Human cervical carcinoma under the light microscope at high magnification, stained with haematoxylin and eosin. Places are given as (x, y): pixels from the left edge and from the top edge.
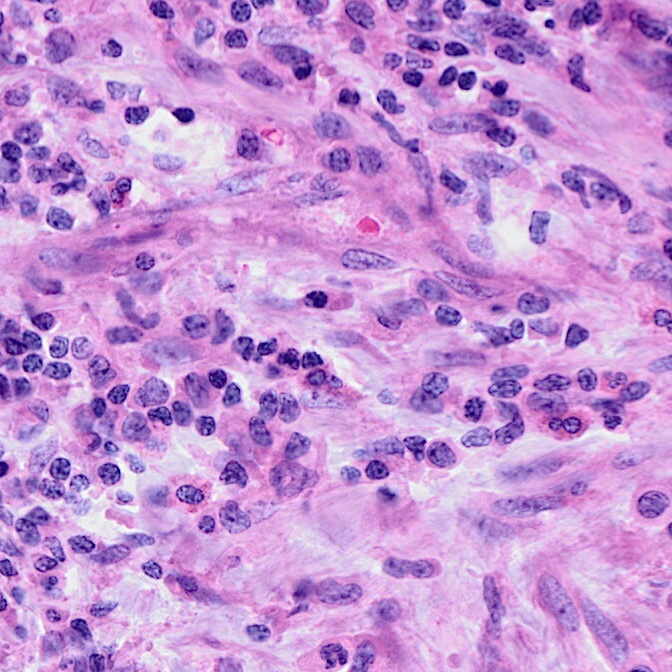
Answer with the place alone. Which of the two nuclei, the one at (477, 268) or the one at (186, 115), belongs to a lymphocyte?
(186, 115)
